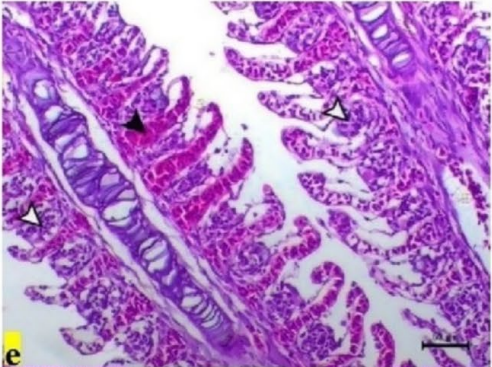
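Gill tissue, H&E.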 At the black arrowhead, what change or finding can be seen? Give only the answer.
congestion of the filamentous capillaries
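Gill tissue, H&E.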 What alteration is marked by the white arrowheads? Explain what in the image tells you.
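The lamellae are crowded and stuck together with little free space between them. The interlamellar spaces are filled with densely packed cells.
Hence: marked adhesion of the secondary lamellae.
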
